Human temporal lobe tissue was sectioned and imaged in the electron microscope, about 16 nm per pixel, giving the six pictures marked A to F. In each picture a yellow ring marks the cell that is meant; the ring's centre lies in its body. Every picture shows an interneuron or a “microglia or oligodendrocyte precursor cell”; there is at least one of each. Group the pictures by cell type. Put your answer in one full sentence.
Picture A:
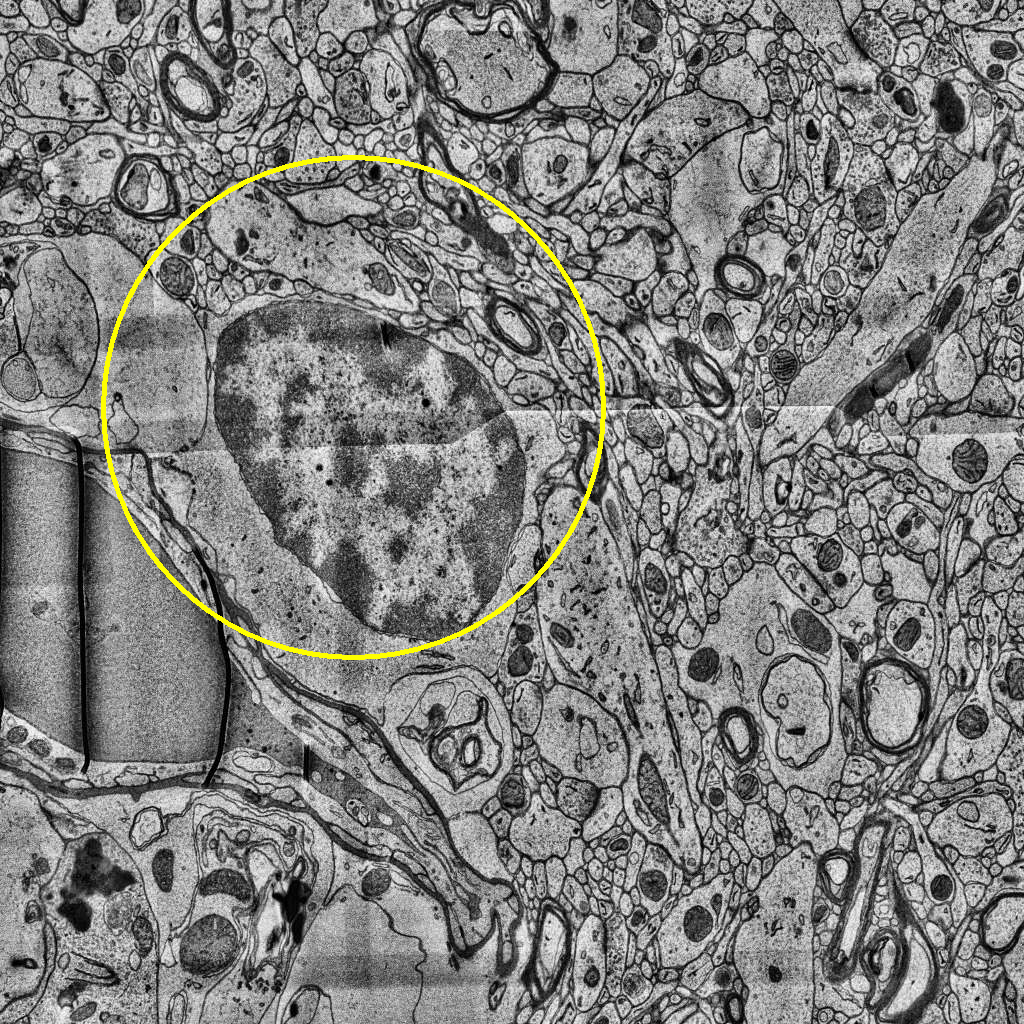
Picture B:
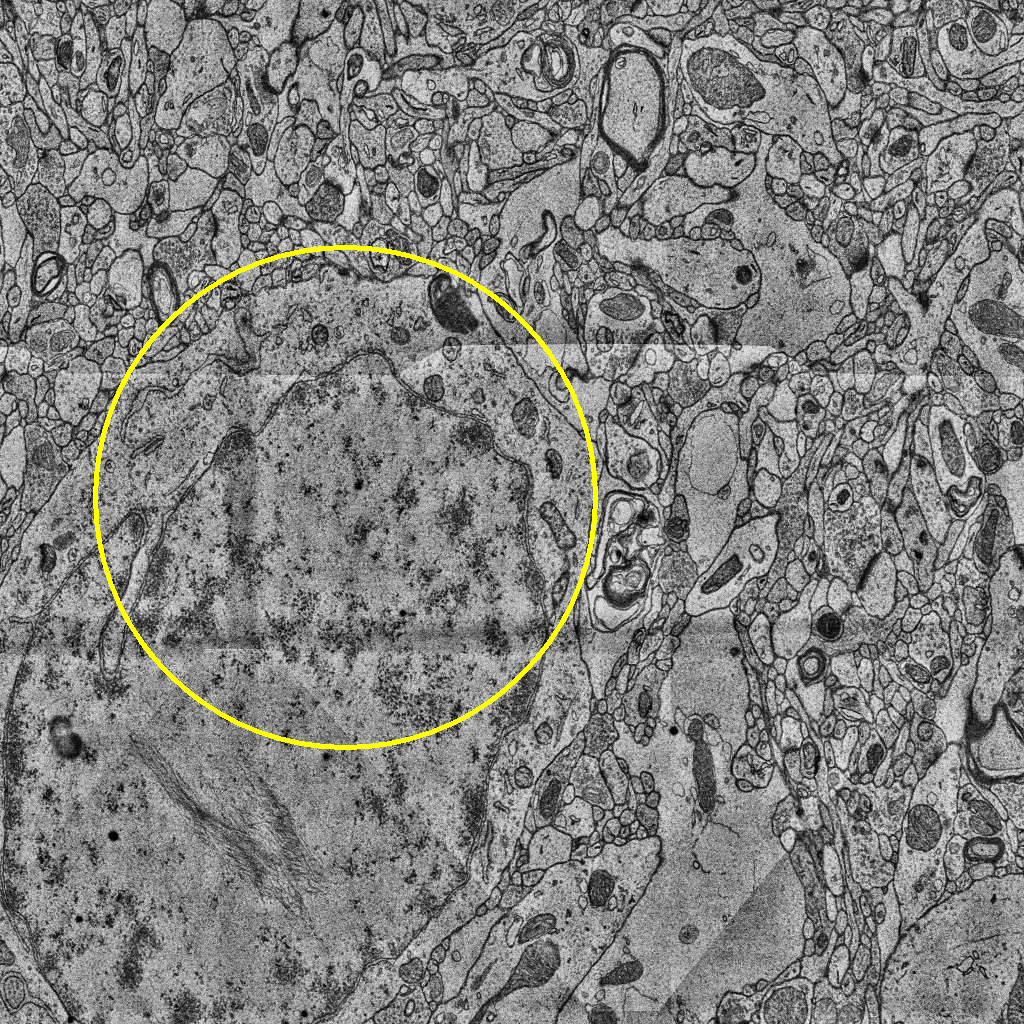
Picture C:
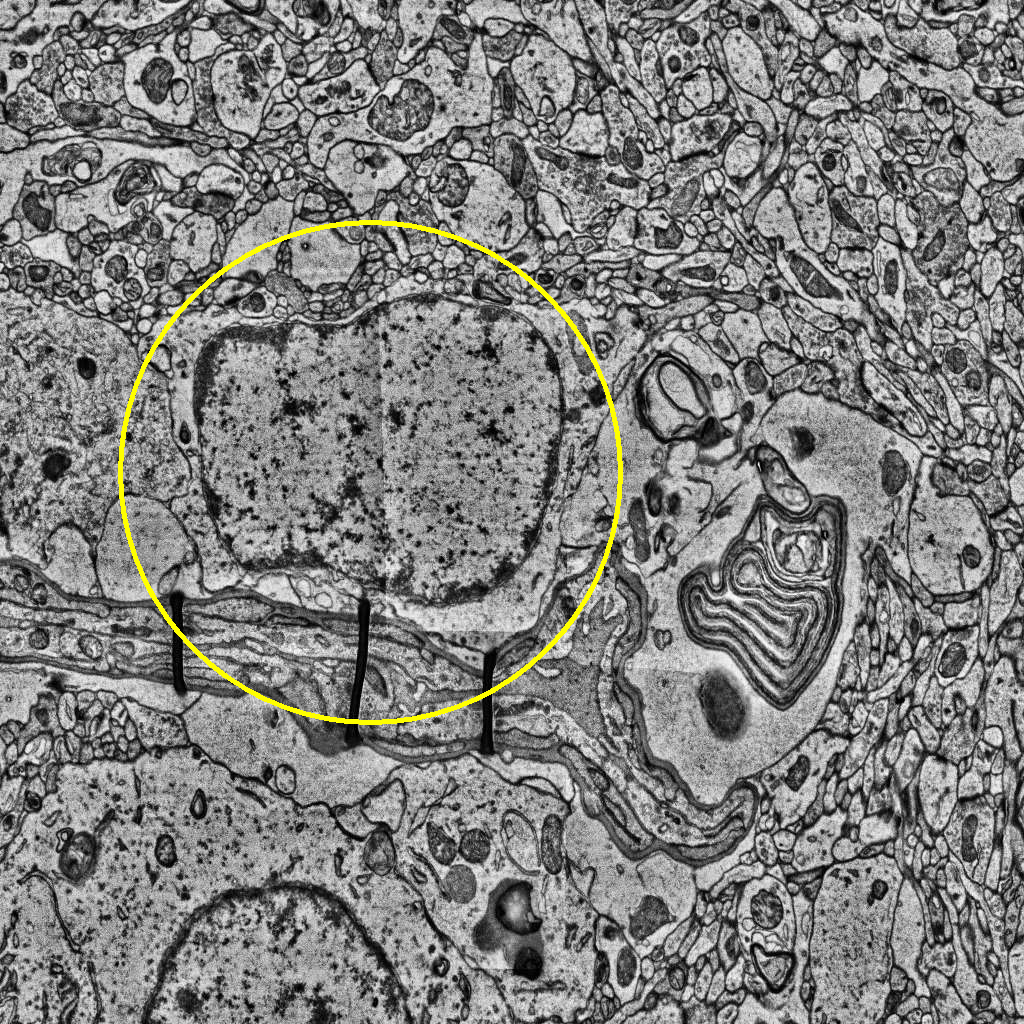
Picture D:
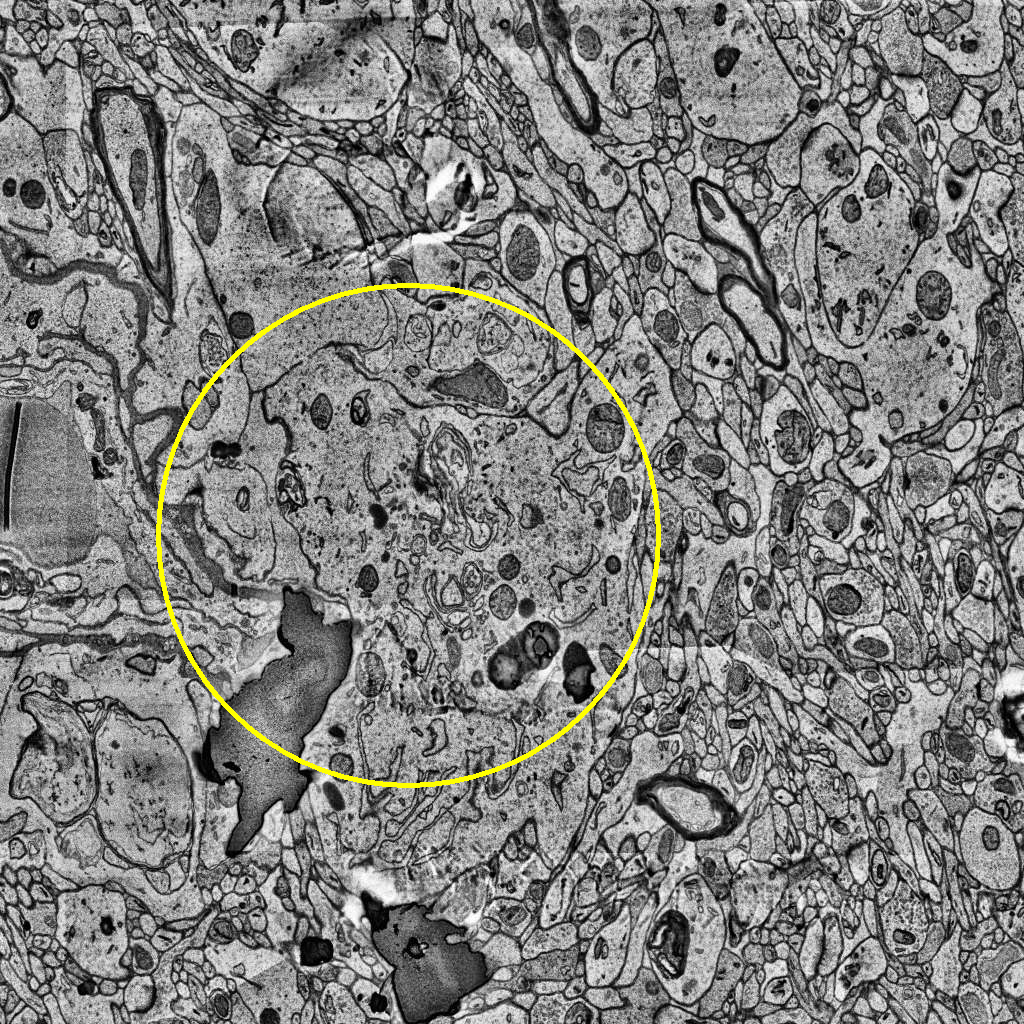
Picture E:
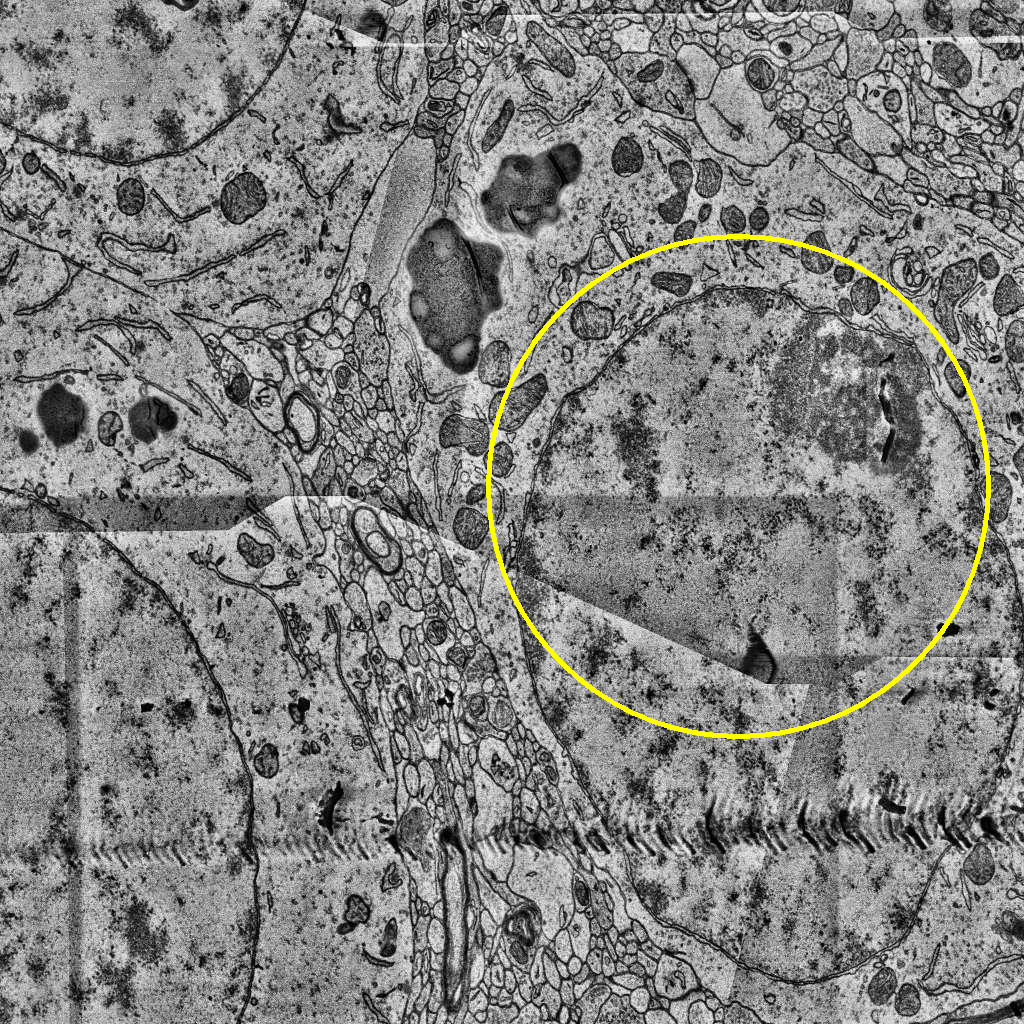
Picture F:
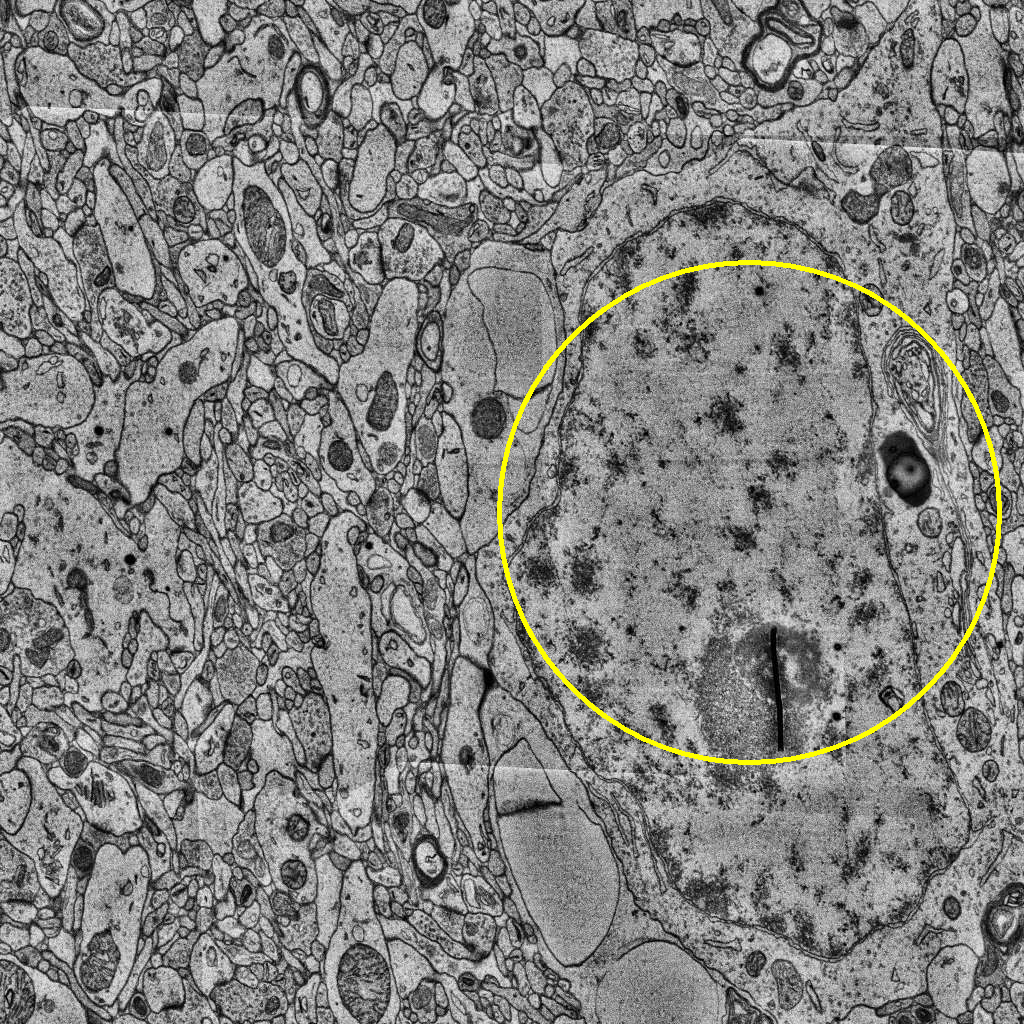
Pictures B, D, E and F show interneurons; pictures A and C show “microglia or oligodendrocyte precursor cells”.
